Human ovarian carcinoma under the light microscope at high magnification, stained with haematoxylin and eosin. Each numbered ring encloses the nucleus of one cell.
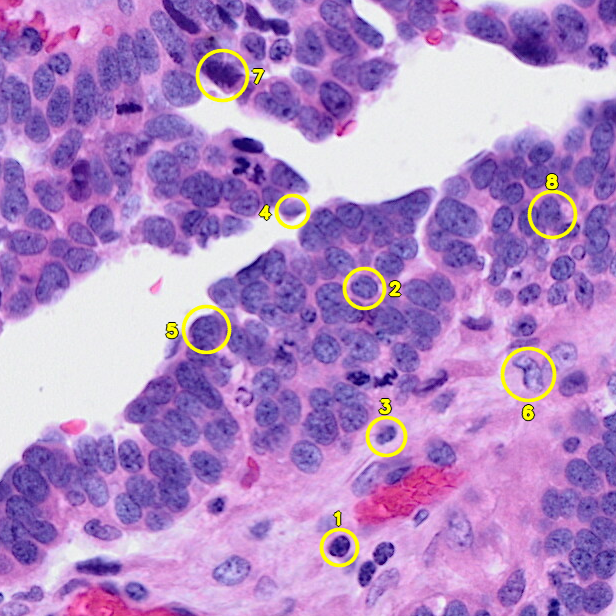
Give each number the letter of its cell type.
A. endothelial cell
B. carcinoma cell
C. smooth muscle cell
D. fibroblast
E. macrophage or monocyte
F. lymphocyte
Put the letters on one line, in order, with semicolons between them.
F; B; F; B; B; D; B; B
